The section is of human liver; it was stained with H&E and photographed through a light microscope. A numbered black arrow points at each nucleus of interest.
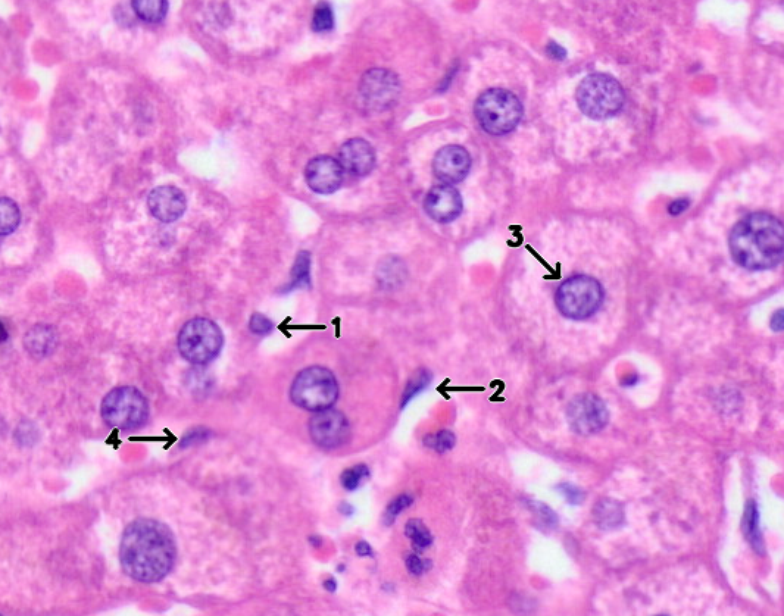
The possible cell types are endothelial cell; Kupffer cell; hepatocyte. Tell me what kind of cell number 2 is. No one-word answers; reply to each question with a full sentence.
The cell whose nucleus carries the number 2 is an endothelial cell.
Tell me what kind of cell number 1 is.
Cell 1, among those numbered, is a Kupffer cell.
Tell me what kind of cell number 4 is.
The cell bearing label 4 corresponds to an endothelial cell.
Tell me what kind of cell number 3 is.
That cell with number 3 is a hepatocyte.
